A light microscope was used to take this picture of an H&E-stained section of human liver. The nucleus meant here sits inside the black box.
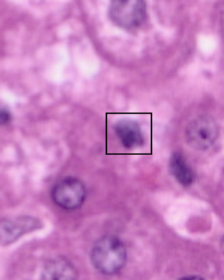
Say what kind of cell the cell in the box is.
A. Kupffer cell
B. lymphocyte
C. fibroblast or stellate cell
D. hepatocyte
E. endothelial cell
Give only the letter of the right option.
E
